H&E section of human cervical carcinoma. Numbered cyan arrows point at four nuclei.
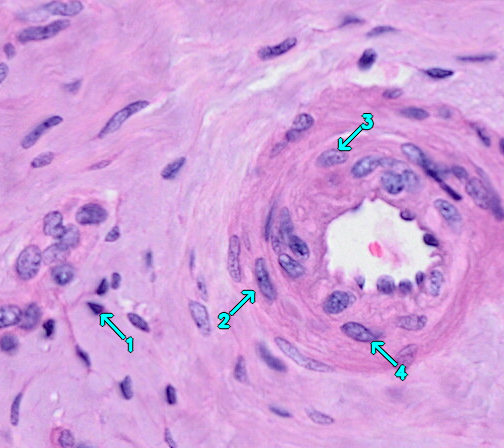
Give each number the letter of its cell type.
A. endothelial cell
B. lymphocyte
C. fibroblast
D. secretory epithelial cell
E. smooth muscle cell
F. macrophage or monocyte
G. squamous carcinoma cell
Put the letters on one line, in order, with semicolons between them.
C; E; E; E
